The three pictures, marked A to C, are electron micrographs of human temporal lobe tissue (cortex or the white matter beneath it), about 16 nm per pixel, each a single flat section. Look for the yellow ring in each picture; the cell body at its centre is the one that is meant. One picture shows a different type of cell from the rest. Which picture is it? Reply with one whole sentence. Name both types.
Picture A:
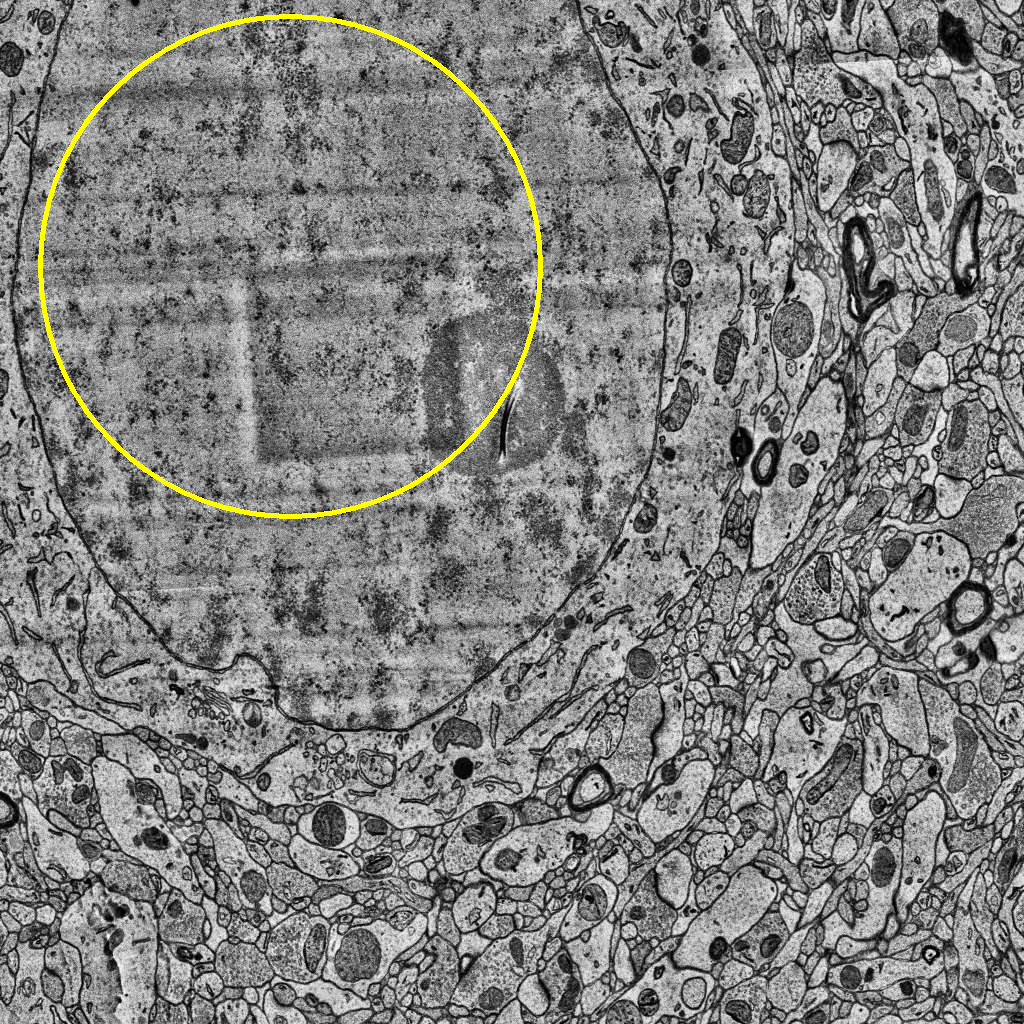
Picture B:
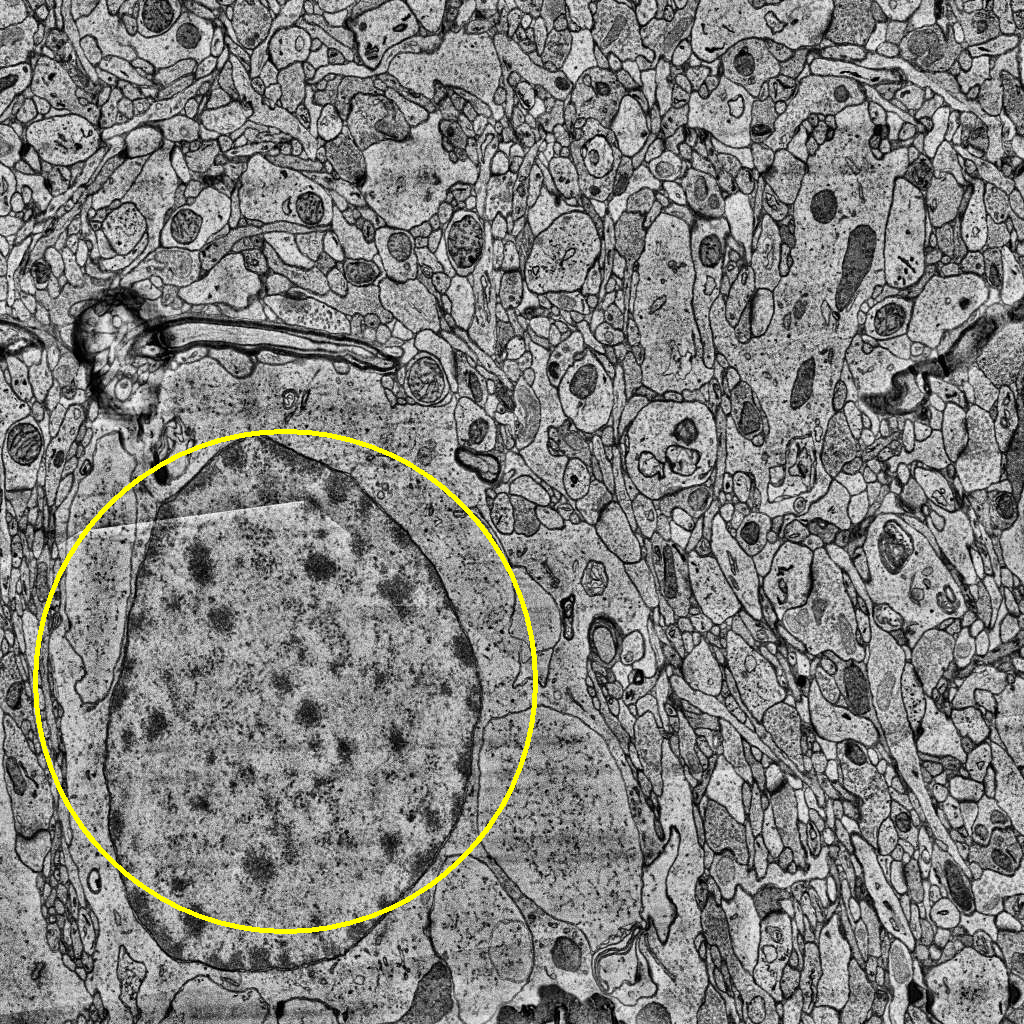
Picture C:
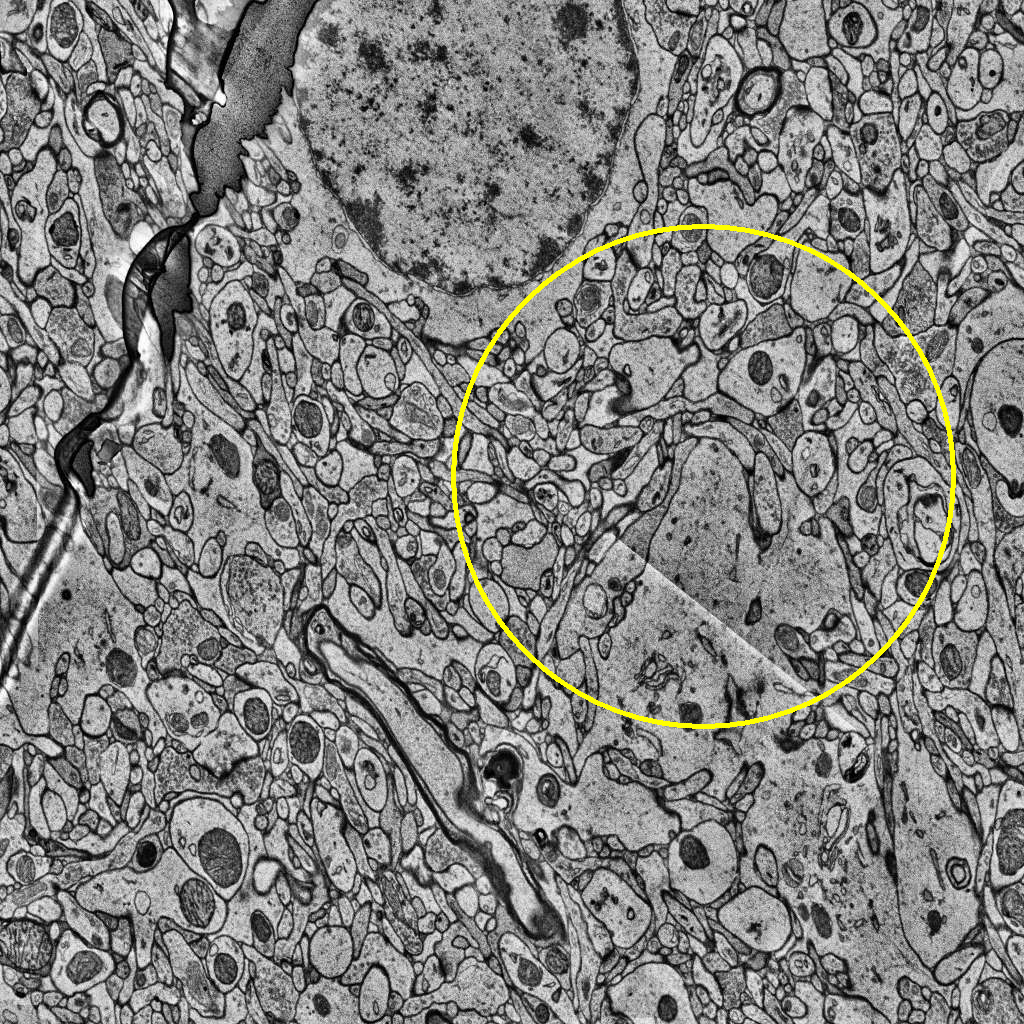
The different one is picture A; it shows a pyramidal neuron, whereas all the others show astrocytes.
